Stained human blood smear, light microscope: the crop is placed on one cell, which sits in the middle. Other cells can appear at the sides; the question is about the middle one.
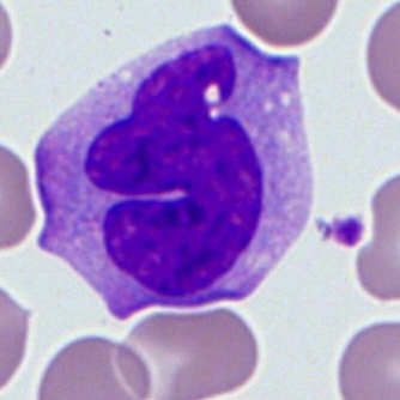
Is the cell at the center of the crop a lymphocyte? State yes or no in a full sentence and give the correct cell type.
No, what occupies the middle of the crop is a monocyte and not a lymphocyte.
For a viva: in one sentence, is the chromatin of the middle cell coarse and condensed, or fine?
The chromatin is fine throughout, without coarse clumps.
